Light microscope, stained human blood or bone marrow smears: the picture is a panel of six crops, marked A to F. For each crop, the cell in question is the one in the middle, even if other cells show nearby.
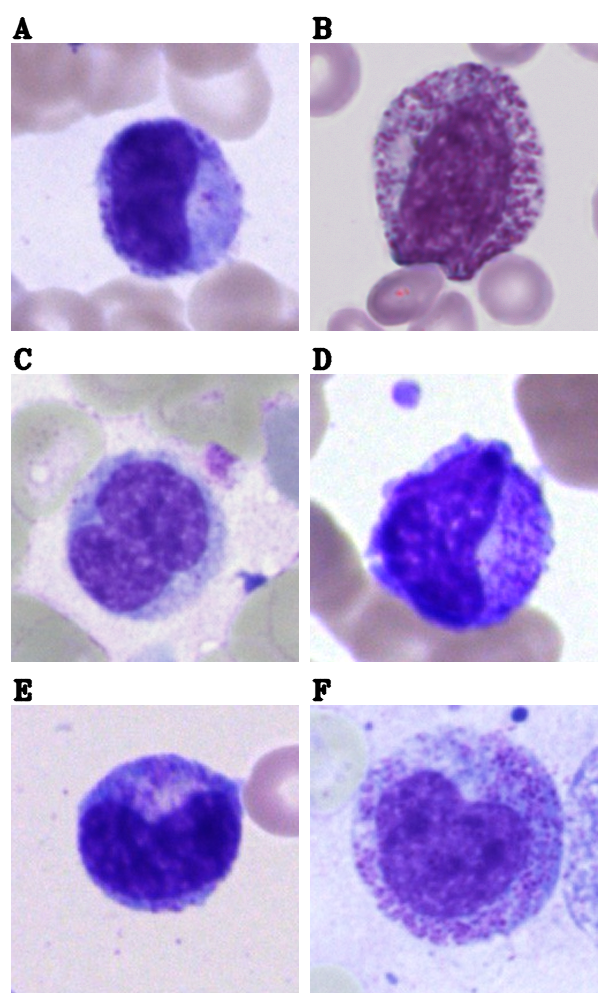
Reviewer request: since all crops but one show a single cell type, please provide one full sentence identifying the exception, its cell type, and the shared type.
In this set, all crops show metamyelocytes apart from crop B, which is a myelocyte.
